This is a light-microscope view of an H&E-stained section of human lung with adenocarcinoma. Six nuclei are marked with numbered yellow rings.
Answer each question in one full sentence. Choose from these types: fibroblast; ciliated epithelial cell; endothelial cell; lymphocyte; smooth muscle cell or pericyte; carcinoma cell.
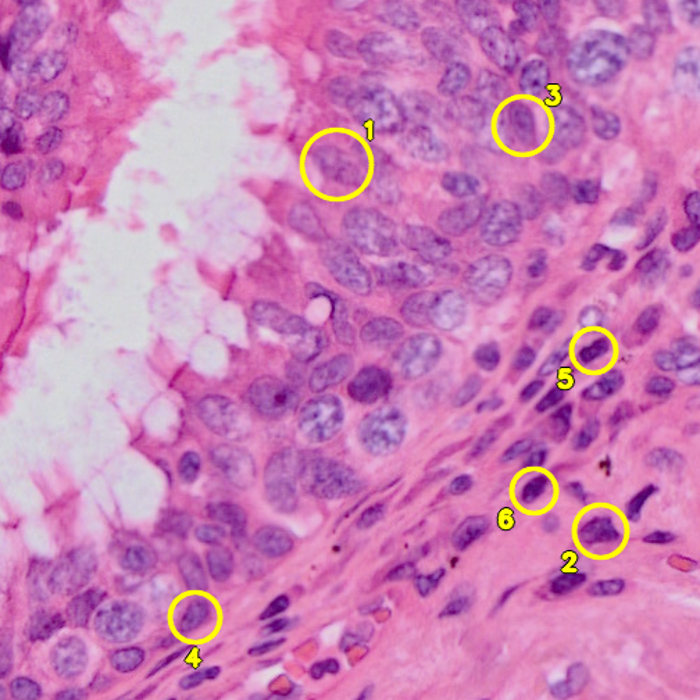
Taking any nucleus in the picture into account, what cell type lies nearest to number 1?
Closest to number 1 lies the nucleus of a ciliated epithelial cell.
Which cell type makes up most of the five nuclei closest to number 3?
Ciliated epithelial cells account for more than half of the five nuclei nearest to number 3.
